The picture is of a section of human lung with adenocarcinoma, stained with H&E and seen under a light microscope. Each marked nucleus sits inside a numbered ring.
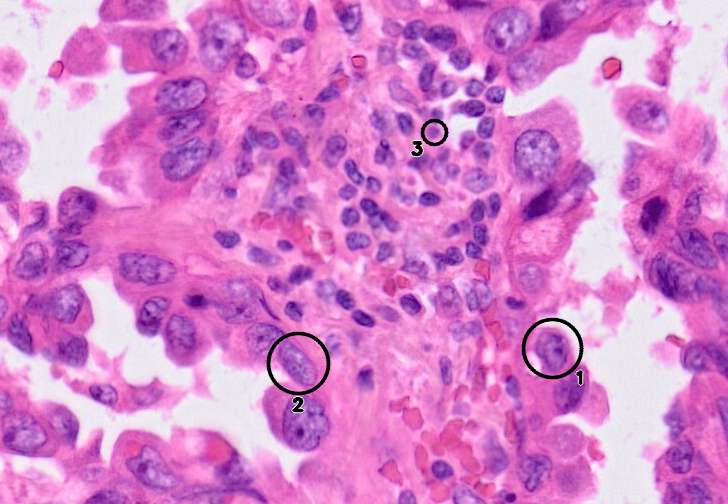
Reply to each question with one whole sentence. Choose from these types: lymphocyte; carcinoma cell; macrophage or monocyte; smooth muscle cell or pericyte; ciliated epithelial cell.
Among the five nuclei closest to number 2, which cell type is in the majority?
Of the five nuclei nearest to number 2, most belong to lymphocytes.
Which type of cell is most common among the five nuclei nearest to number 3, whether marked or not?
Lymphocytes account for more than half of the five nuclei nearest to number 3.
